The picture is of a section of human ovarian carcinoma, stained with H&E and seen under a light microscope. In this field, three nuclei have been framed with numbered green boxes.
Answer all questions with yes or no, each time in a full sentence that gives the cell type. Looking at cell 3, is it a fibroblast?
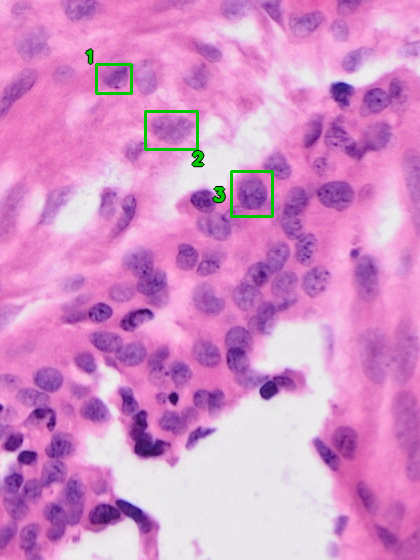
No, the cell labelled number 3 is not a fibroblast; it is a carcinoma cell.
